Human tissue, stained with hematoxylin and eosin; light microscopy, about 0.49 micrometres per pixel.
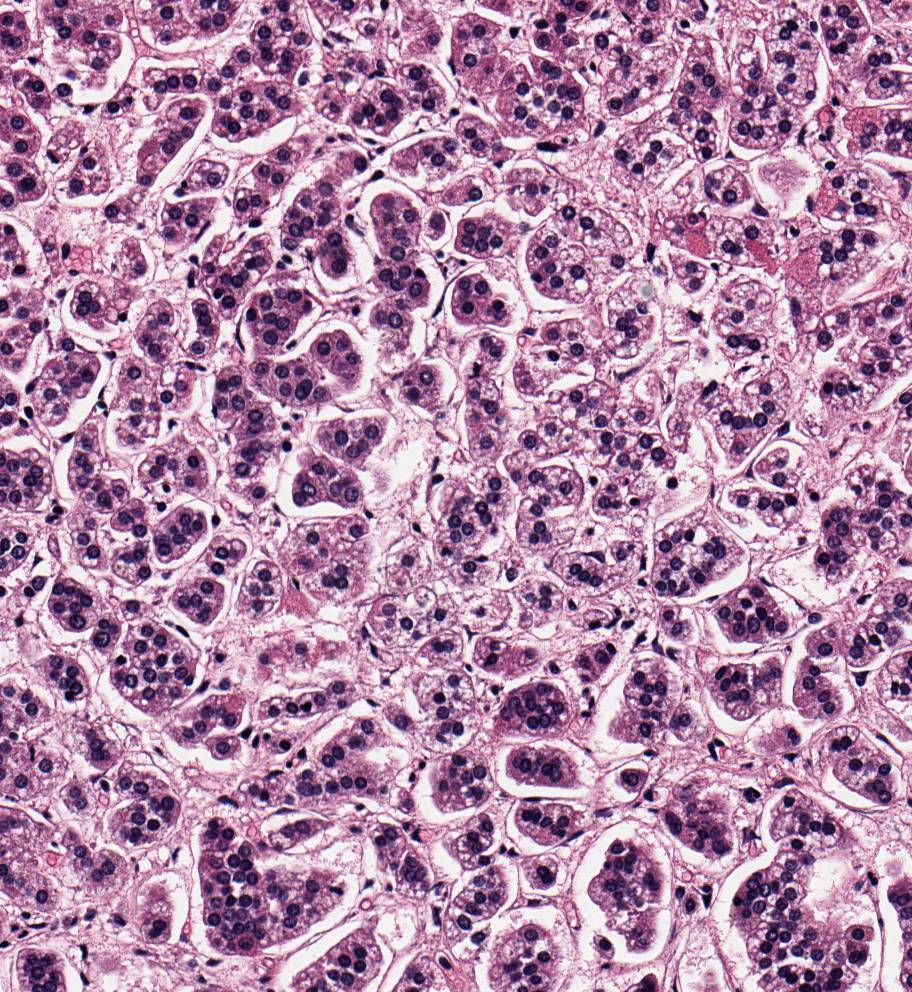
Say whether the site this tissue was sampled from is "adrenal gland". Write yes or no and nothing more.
yes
